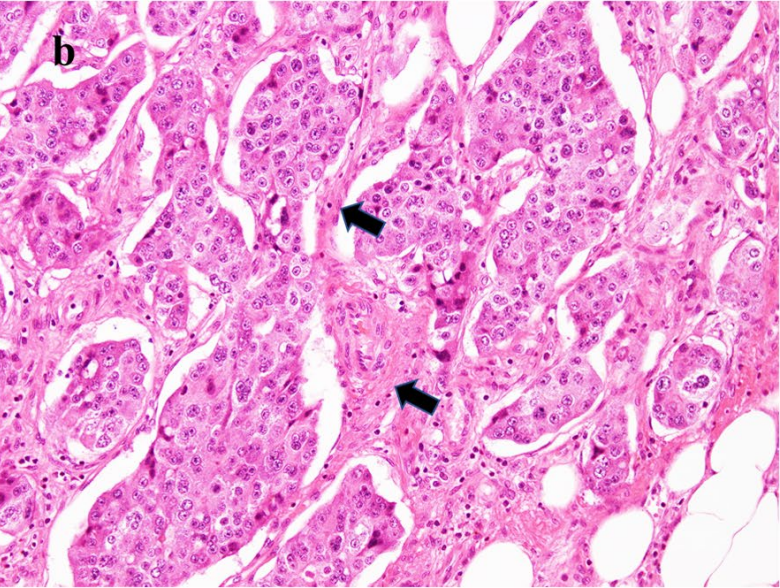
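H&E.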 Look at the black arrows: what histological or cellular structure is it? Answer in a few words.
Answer: Narrow fibrovascular interstitial spaces.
